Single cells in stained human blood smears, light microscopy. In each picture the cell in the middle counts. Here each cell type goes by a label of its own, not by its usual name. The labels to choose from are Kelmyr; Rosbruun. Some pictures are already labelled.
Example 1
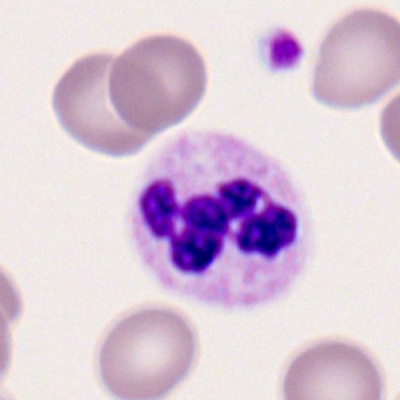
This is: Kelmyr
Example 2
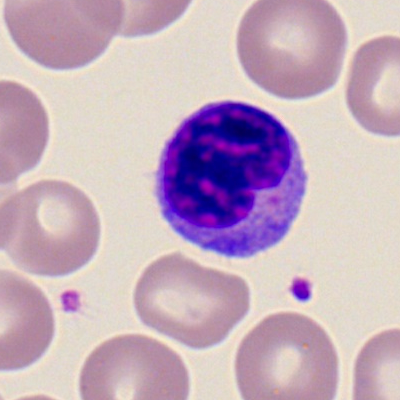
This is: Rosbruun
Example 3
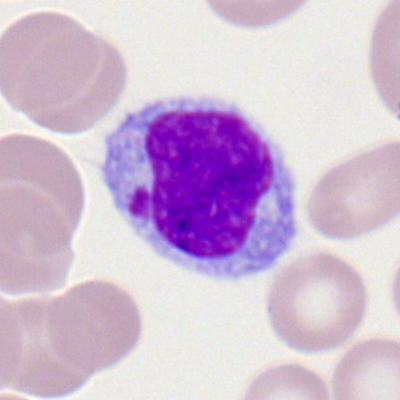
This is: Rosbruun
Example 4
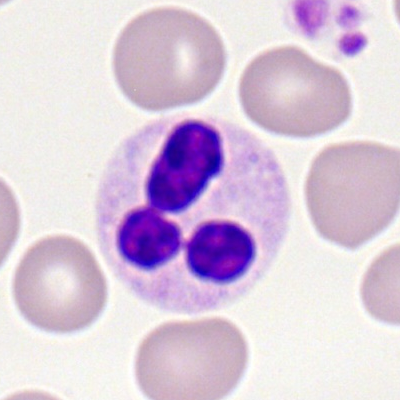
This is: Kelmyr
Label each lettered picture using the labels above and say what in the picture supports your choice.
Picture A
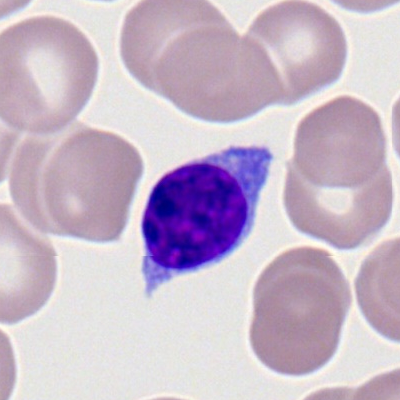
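Rosbruun. Evidence: The cytoplasm is scant, apart from the two tapering extensions.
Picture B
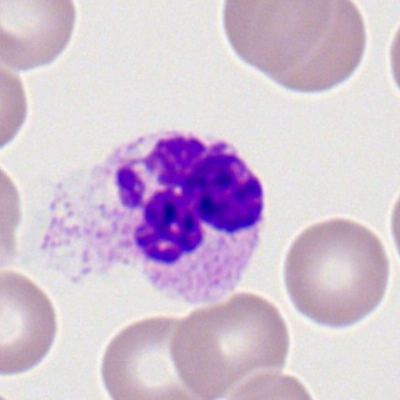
Kelmyr. Evidence: The nucleus is divided into several separate lobes.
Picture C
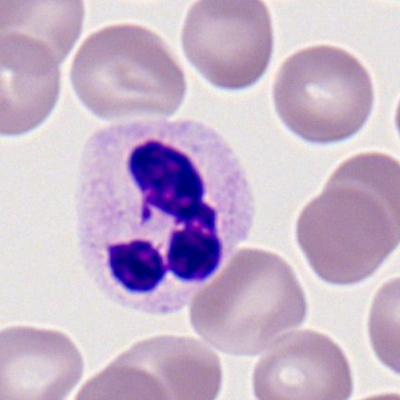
Kelmyr. Evidence: The nucleus is divided into three separate lobes.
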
